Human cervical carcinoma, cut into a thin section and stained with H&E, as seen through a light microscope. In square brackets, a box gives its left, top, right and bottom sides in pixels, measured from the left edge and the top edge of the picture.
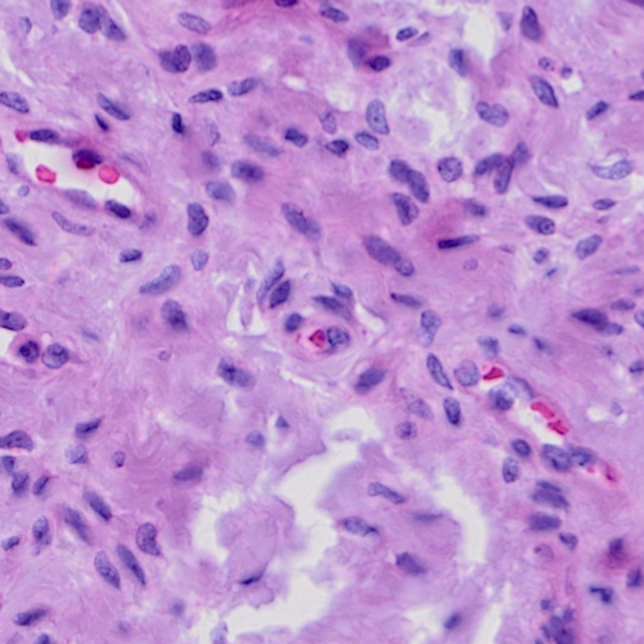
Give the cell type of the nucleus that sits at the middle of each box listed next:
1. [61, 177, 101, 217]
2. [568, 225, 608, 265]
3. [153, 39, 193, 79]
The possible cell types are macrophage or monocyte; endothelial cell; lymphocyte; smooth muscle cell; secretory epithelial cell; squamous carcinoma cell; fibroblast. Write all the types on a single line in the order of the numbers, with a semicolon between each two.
endothelial cell; fibroblast; fibroblast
